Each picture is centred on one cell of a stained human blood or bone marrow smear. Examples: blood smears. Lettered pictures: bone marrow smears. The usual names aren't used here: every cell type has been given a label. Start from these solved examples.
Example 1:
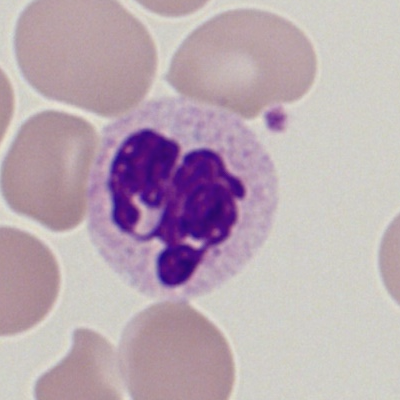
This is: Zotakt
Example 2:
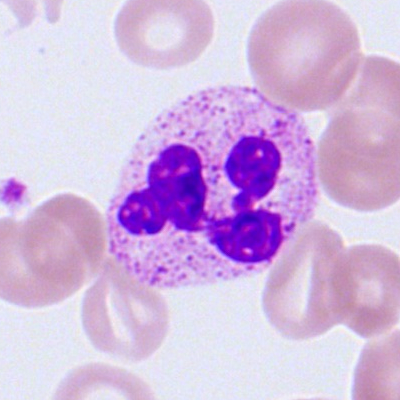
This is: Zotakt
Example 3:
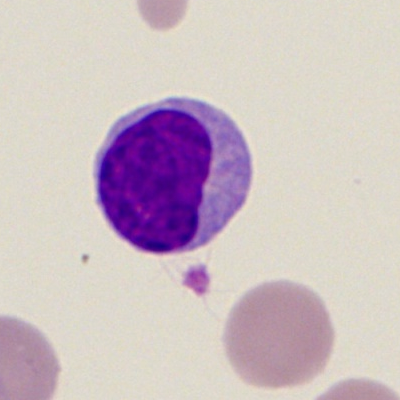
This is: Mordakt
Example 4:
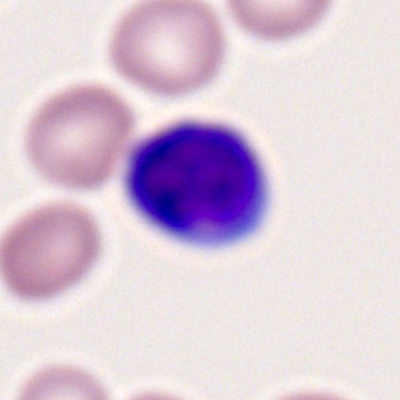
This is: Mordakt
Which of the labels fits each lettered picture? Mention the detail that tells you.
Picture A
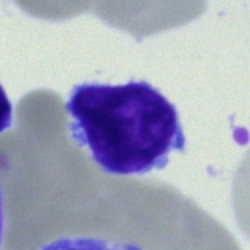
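Mordakt: The nucleus fills almost the whole cell.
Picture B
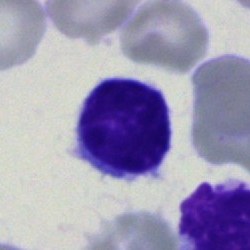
Mordakt: The nucleus fills almost the whole cell.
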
